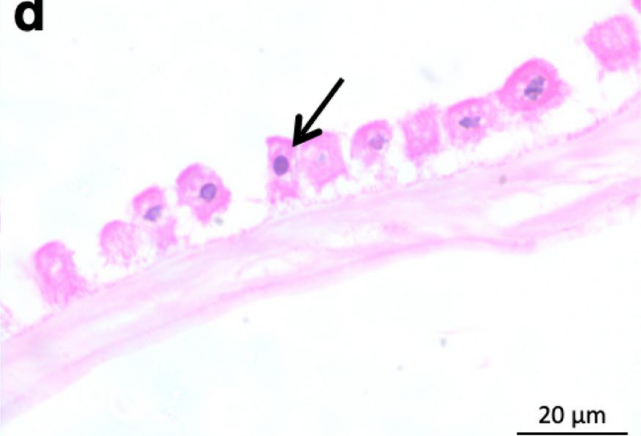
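The cells are rounded or boxy, and many are separated from their neighbours by clear gaps instead of forming a continuous sheet. Their cytoplasm is stained pink and looks ragged or frayed at the edges. The cells sit on a pink, fibrous, acellular layer beneath them. Compared with a healthy epithelium, the cells look shrunken, detached and with condensed nuclei.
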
